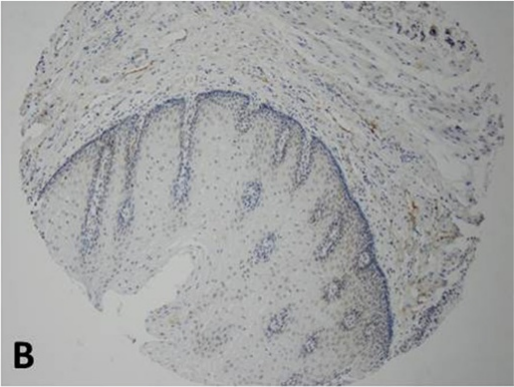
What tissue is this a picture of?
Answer: Squamous epithelium.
